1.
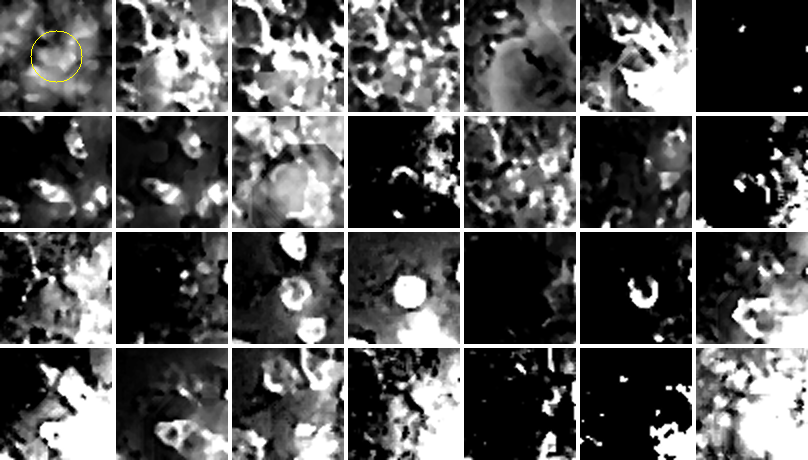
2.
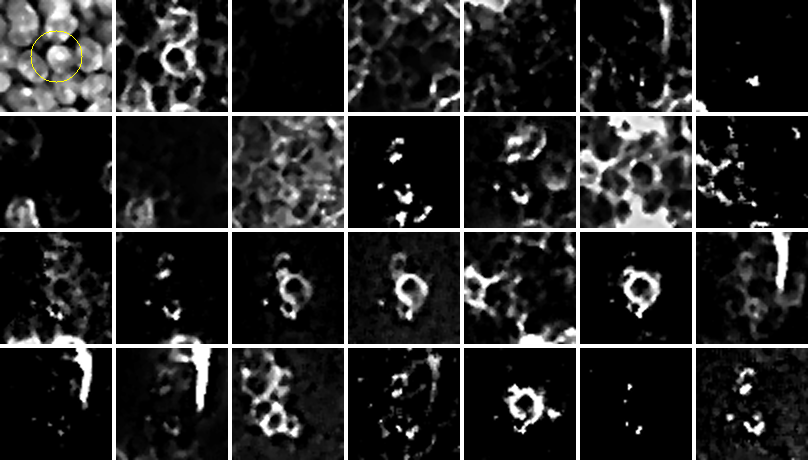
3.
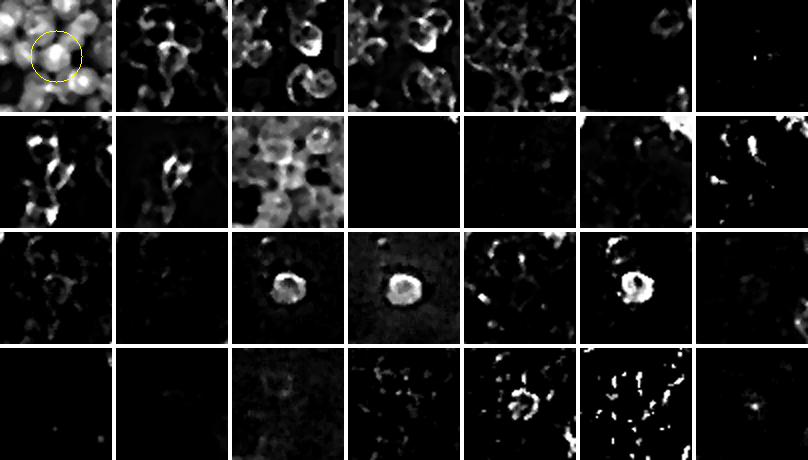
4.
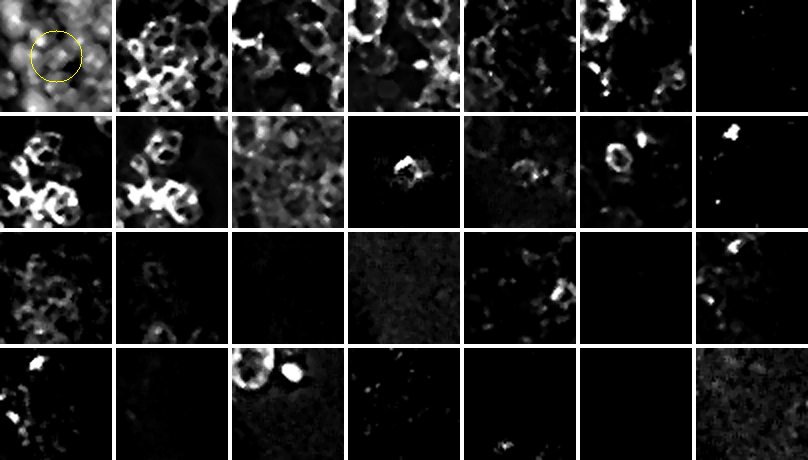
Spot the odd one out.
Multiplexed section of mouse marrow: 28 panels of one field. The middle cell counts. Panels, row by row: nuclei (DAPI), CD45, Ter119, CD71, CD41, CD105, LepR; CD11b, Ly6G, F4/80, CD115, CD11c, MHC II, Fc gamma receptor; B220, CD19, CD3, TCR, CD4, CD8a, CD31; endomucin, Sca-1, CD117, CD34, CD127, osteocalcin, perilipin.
Picture 4 (a monocyte among CD8 T cells).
